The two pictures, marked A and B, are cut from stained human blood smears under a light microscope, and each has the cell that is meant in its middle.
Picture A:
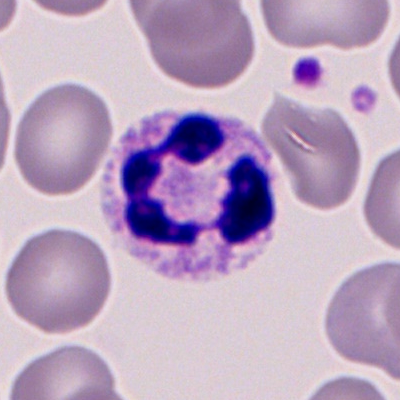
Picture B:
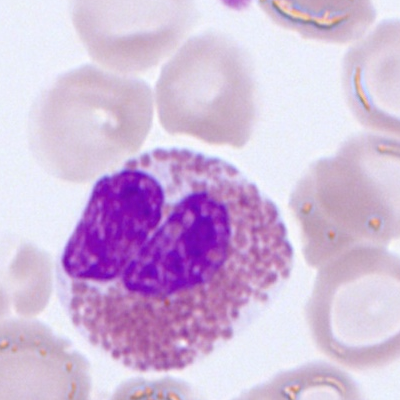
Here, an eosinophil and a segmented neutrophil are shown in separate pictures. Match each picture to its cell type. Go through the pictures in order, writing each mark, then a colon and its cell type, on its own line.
A: segmented neutrophil
B: eosinophil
